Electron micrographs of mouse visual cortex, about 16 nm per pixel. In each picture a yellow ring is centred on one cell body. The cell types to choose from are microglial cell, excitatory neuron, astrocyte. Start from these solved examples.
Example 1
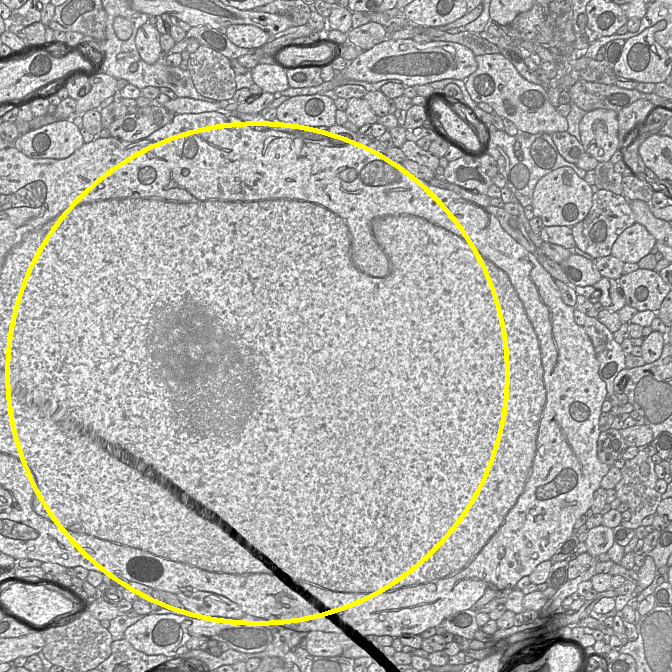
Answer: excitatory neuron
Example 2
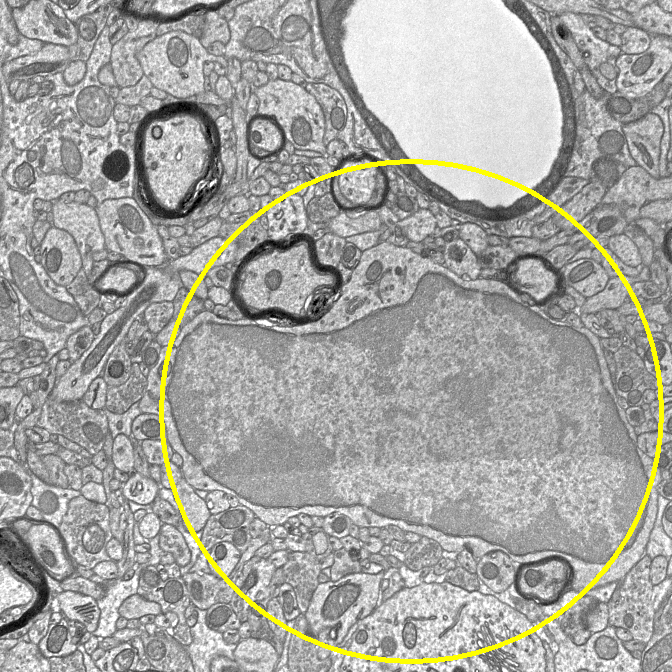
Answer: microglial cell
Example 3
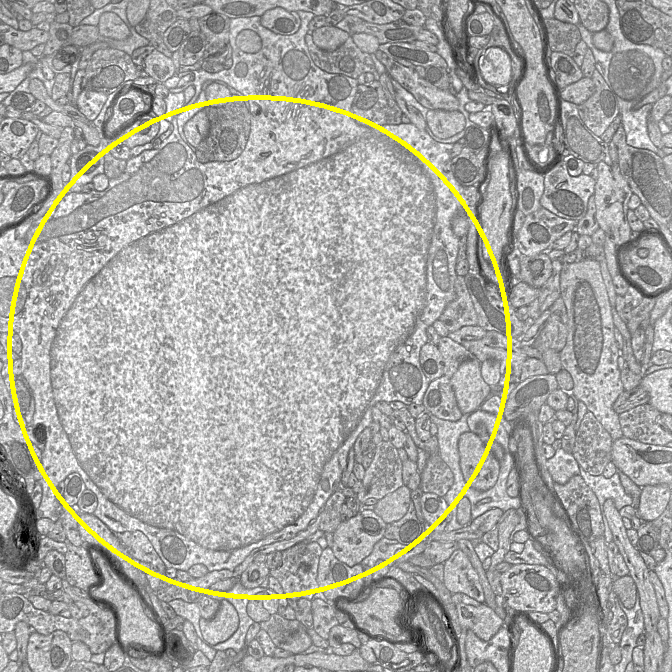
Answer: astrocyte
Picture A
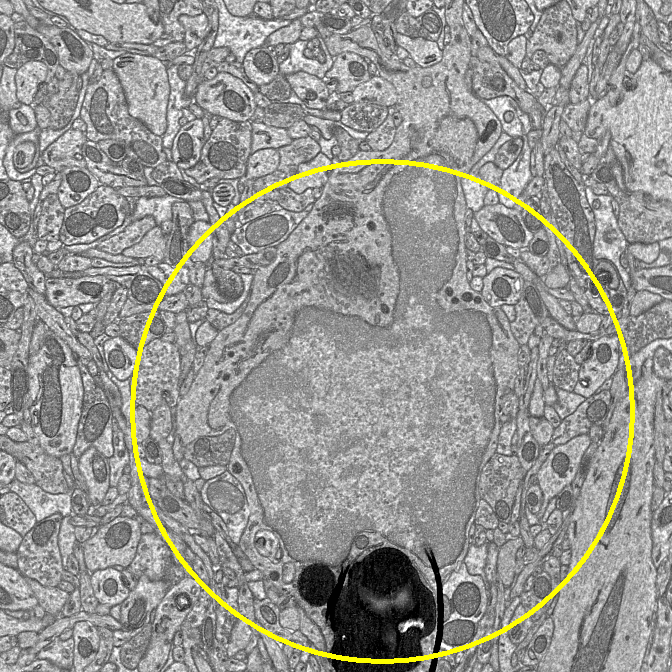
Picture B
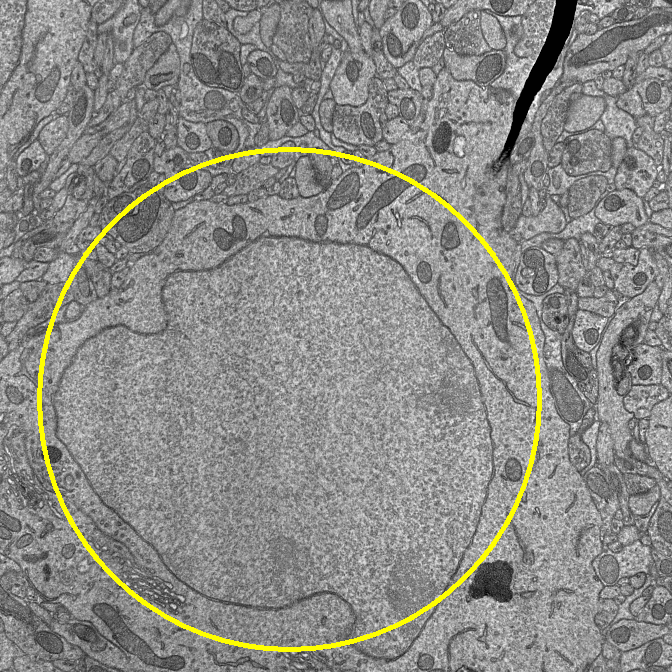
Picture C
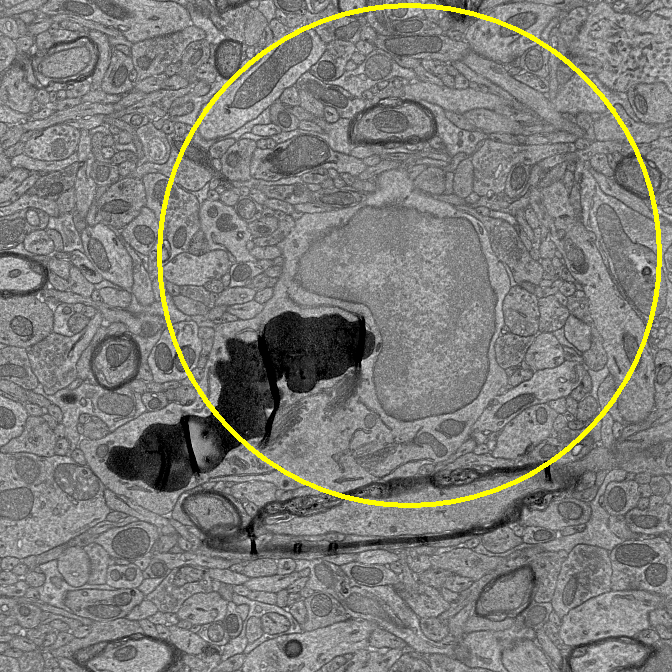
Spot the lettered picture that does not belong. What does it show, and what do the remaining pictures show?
Exception: B, showing excitatory neuron. Remaining pictures: microglial cell.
